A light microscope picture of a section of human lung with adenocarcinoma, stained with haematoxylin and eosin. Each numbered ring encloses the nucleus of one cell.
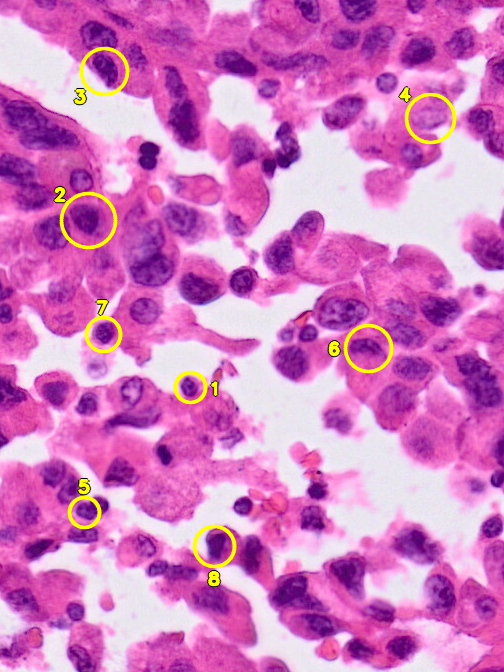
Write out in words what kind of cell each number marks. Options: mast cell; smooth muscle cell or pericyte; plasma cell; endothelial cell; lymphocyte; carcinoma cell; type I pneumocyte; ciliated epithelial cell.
Cell 1 is a lymphocyte, cell 2 is a carcinoma cell, cell 3 is a carcinoma cell, cell 4 is a carcinoma cell, cell 5 is a lymphocyte, cell 6 is a carcinoma cell, cell 7 is a lymphocyte and cell 8 is a carcinoma cell.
